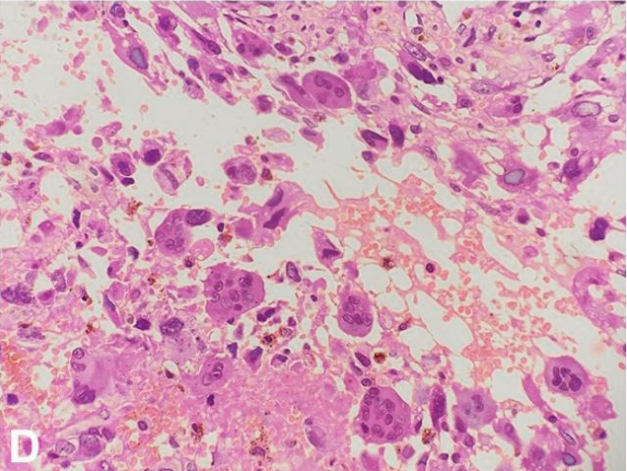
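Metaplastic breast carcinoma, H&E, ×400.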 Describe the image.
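This high-power view of the tumor shows numerous osteoclastic giant cells scattered among malignant cells in a hemorrhagic background. The giant cells are large and rounded, with abundant pink cytoplasm and several oval nuclei each, often clustered together. Between them lie single-nucleus tumor cells with enlarged, irregular, darkly staining nuclei, some with visible nucleoli. Many red blood cells fill the spaces between the cells, and small brown granular deposits are scattered among them. Toward the upper part of the field, elongated spindle-shaped cells with oval nuclei are present. The tissue looks loose, with clear spaces separating the cells.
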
